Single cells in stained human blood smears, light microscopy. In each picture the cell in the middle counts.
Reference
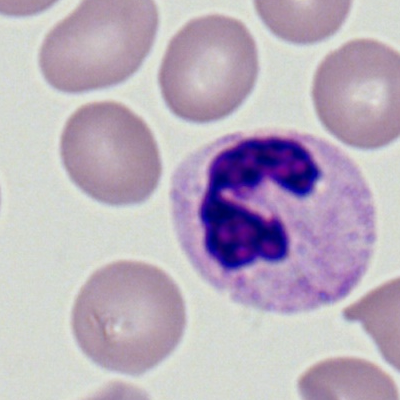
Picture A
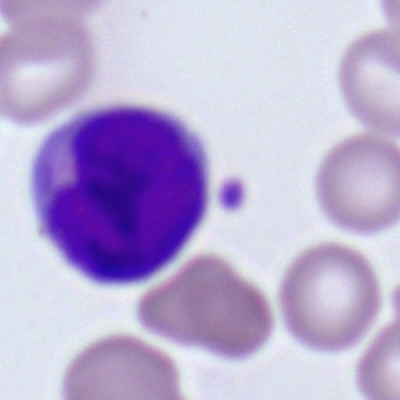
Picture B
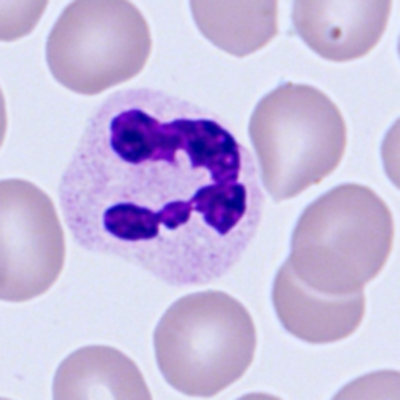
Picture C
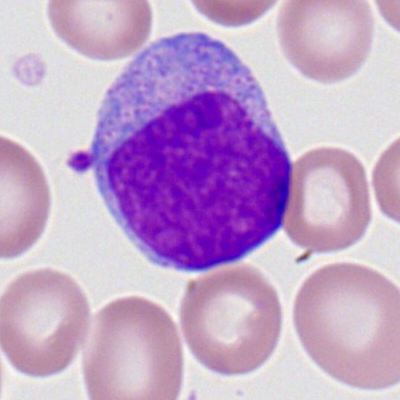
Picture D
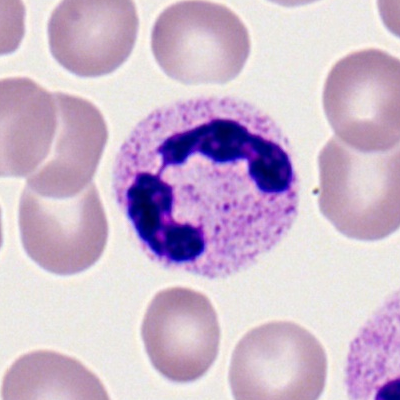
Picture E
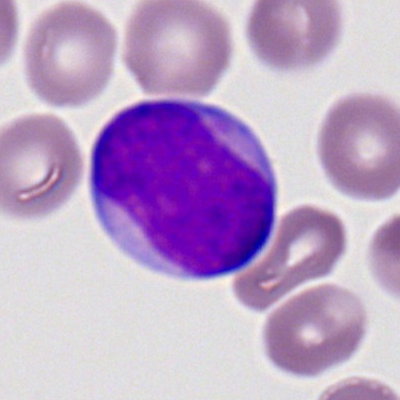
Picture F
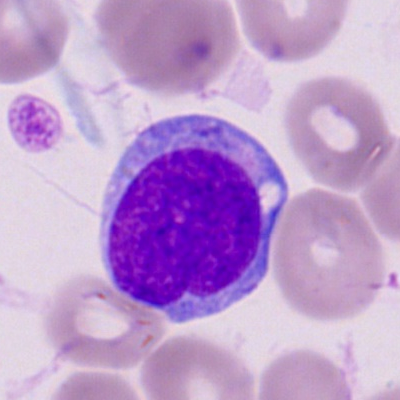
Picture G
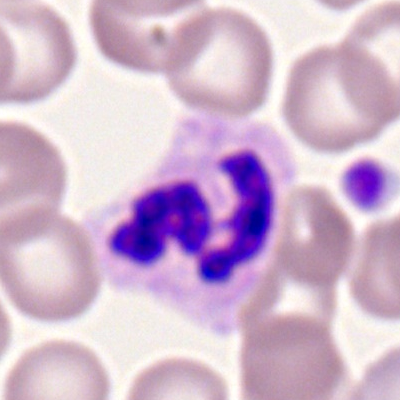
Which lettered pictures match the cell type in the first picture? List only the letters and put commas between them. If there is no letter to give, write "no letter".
B, D, G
